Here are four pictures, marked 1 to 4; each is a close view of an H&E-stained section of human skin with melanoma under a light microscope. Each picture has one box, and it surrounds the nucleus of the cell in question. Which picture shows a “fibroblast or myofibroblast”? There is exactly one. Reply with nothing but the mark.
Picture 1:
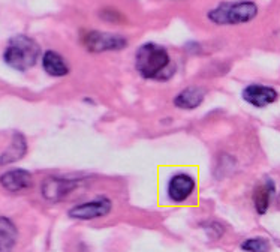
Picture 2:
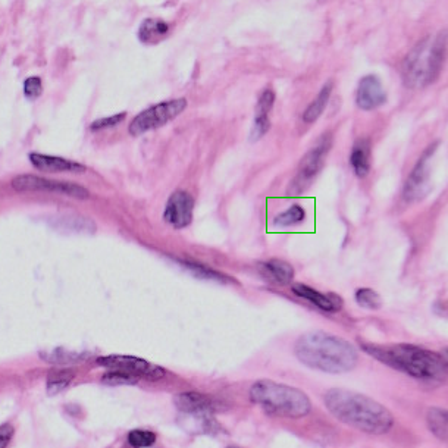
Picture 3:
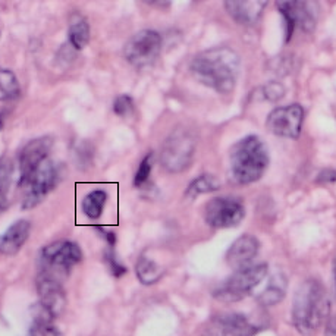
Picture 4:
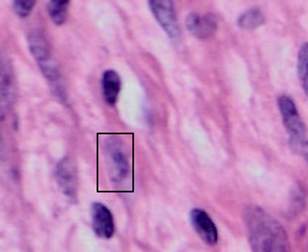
4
